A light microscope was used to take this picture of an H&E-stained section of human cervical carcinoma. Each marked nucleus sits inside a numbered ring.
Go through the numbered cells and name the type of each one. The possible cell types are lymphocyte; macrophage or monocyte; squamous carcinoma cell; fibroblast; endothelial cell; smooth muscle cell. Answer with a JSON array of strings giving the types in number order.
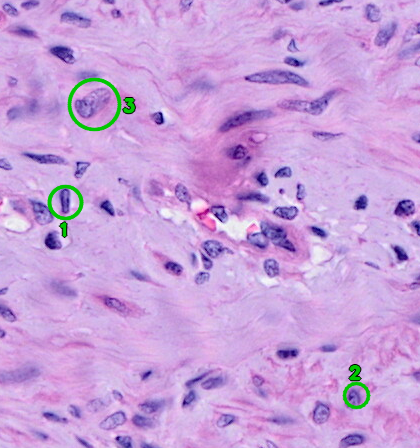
["fibroblast", "smooth muscle cell", "smooth muscle cell"]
